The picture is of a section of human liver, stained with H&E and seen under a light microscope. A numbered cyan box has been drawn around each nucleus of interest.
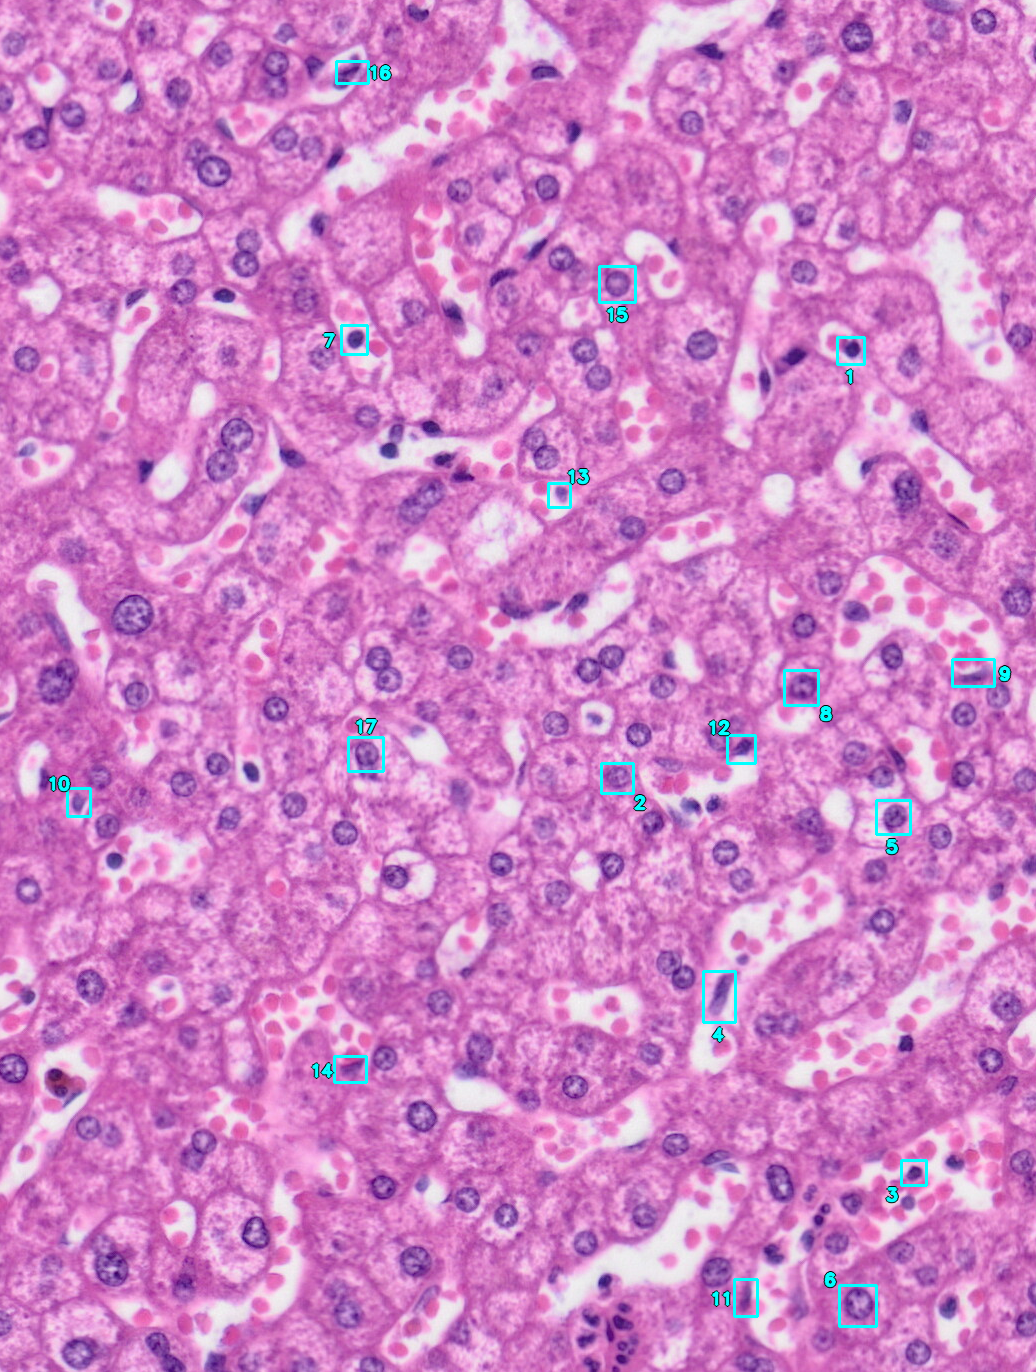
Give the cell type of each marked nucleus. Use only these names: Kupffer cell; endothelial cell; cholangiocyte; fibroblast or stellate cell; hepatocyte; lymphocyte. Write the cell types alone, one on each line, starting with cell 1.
lymphocyte
hepatocyte
lymphocyte
Kupffer cell
hepatocyte
hepatocyte
lymphocyte
hepatocyte
endothelial cell
lymphocyte
endothelial cell
fibroblast or stellate cell
lymphocyte
endothelial cell
hepatocyte
Kupffer cell
hepatocyte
